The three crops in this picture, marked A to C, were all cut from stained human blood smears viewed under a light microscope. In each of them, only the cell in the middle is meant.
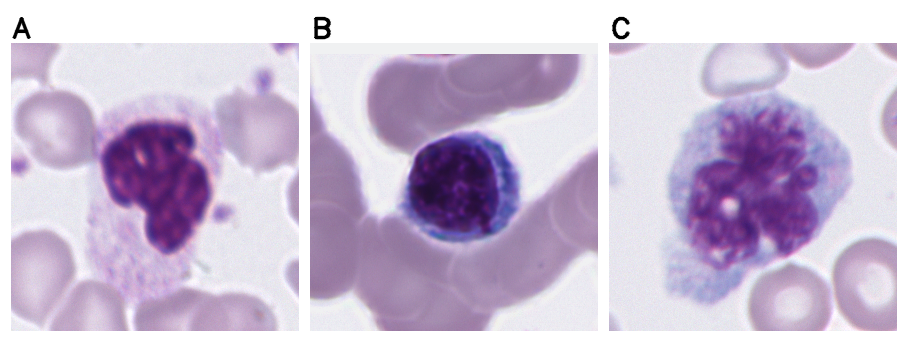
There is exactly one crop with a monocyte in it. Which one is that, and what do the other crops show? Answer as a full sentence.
In this group, crop C shows a monocyte, while crop A is a neutrophil and crop B is a plasma cell.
